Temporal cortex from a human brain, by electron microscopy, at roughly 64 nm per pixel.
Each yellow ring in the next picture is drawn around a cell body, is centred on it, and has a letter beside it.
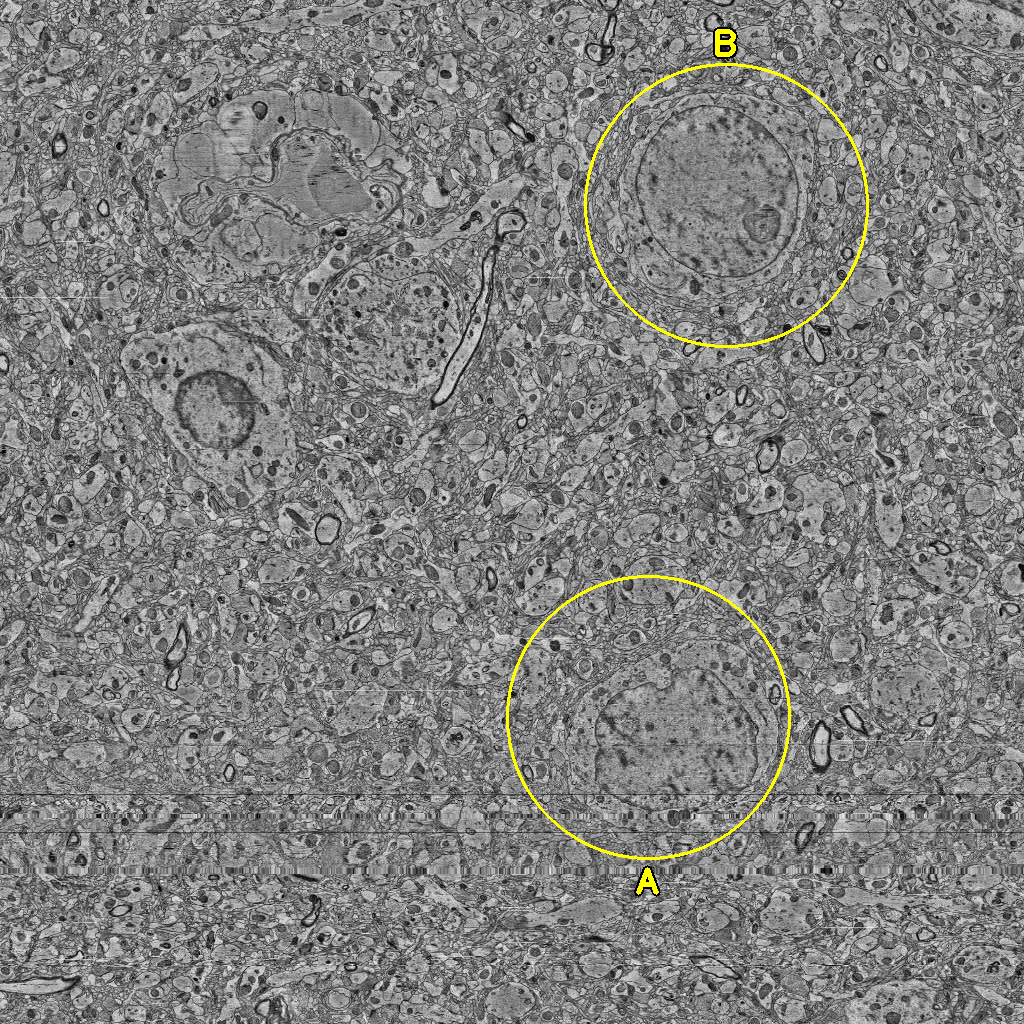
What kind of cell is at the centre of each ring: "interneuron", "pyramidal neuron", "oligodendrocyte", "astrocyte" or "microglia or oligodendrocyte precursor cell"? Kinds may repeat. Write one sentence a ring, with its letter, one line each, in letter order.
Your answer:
The centre of ring A falls on an interneuron.
The centre of ring B falls on a pyramidal neuron.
